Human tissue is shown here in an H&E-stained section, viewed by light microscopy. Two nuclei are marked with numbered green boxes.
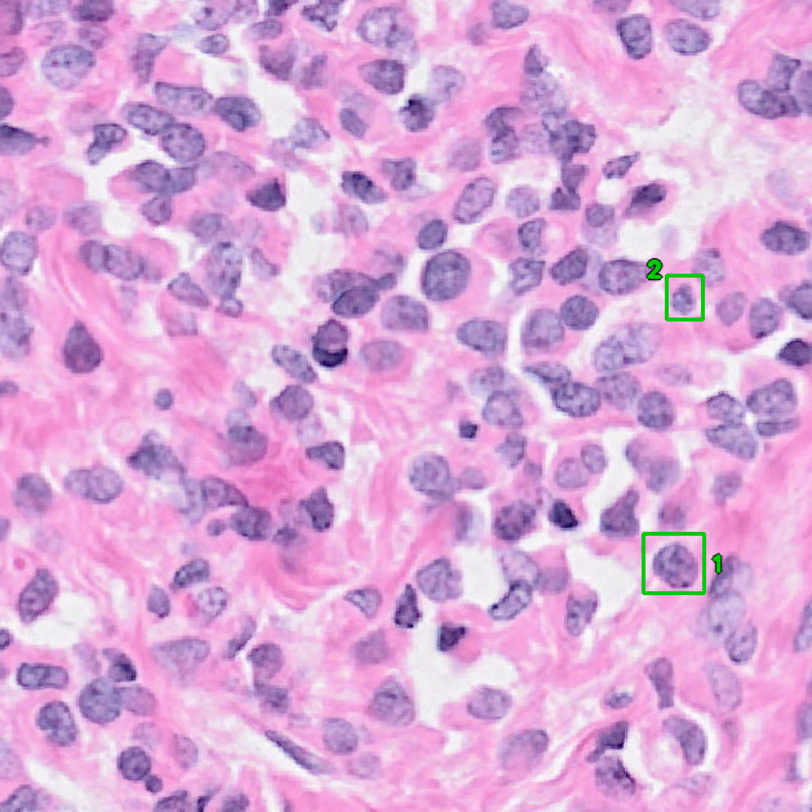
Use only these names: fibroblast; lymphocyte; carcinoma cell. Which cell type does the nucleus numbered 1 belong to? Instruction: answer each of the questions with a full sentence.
Cell 1, among those numbered, is a carcinoma cell.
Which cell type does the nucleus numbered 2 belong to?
Within this field of view, the cell labelled 2 is a lymphocyte.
